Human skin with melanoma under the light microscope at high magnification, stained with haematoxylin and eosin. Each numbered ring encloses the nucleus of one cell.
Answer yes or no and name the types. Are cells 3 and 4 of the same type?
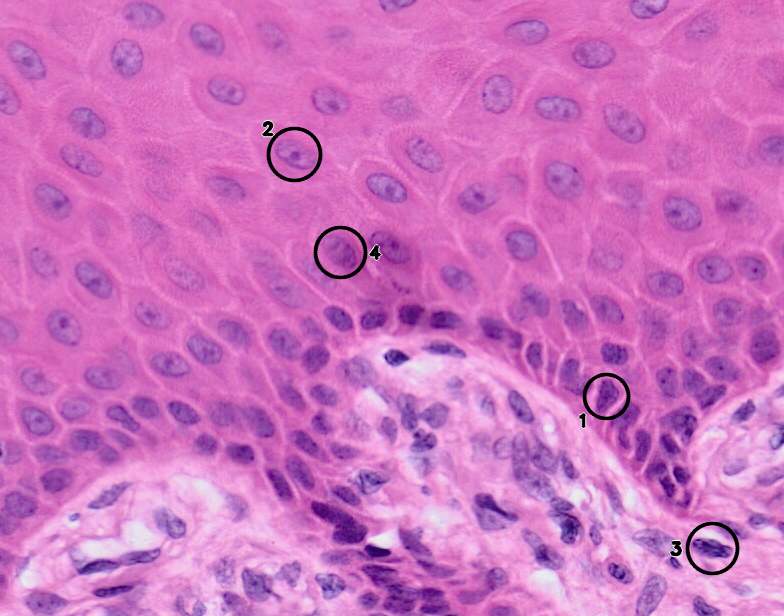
No, a lymphocyte is what cell 3 is, and a keratinocyte is what cell 4 is.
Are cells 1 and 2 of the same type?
Yes, cells 1 and 2 both count as keratinocytes.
